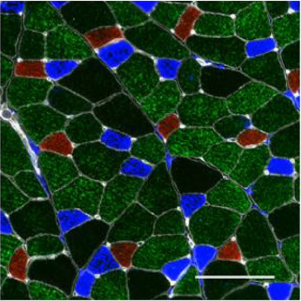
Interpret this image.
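This is a cross-section through skeletal muscle, in which each muscle fiber is cut across as a closely packed polygon with a thin white border. Most fibers are filled with a speckled green, smaller fibers stained blue or red are scattered among them, and a good number of fibers stay dark, unstained by any of the three colours. The red and blue fibers tend to be smaller than the green and dark ones.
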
